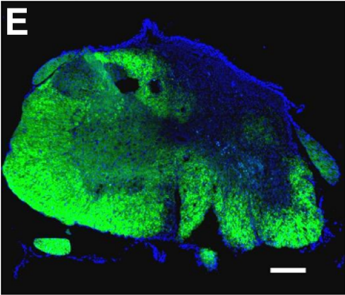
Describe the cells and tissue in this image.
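The dorsal and central parts are darker and disorganised, containing blue nuclei, with a few dark holes or cavities near the top. Small detached fragments of green-stained tissue lie along the lower and right edges, and blue nuclei line the outer surface of the section.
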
